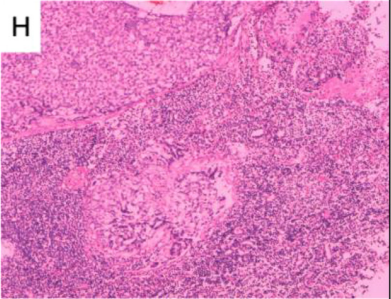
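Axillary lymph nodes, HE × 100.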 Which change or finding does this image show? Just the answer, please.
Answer: Tumor invasion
